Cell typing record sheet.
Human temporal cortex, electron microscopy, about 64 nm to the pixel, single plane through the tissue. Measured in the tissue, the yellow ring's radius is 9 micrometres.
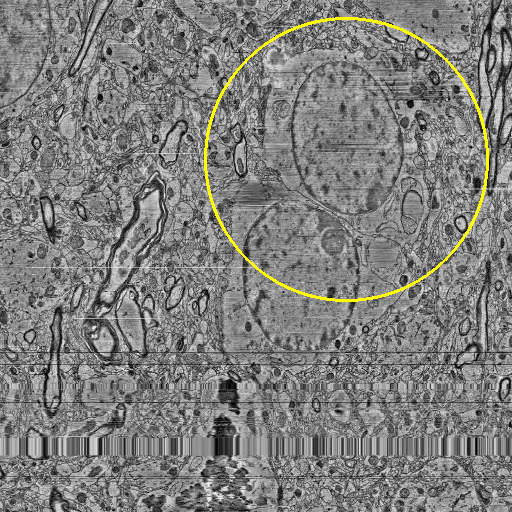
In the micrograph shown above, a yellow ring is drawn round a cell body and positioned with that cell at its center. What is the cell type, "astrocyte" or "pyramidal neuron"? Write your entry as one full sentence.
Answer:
The cell body at the center of the ring belongs to an astrocyte.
